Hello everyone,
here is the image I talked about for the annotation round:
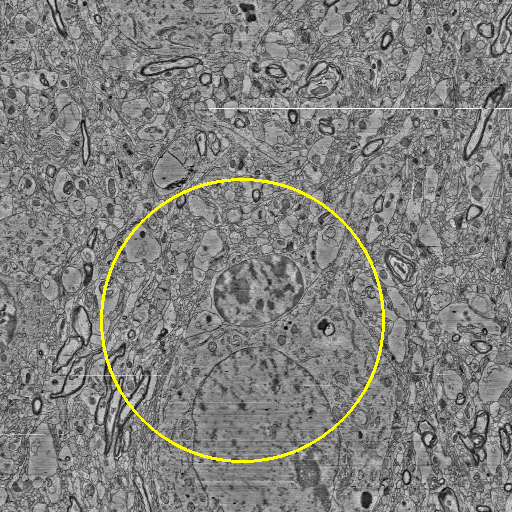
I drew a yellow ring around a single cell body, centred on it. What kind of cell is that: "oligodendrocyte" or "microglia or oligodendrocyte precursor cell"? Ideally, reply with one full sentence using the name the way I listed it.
The cell your yellow ring is centred on is a microglial cell or oligodendrocyte precursor cell, going by your list.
